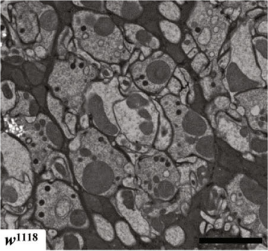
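Rounded neuronal terminals of a fly lamina cartridge, each bounded by membranes and set in darker glial cytoplasm, containing small dense round organelles and vesicles. These are photoreceptor terminals in orderly arrangement, with compact mitochondria.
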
